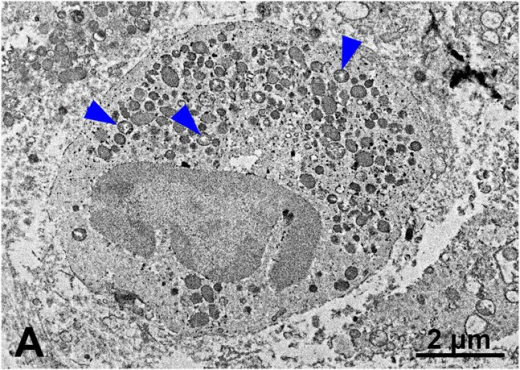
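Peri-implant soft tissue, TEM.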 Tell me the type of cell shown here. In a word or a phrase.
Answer: Neutrophils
